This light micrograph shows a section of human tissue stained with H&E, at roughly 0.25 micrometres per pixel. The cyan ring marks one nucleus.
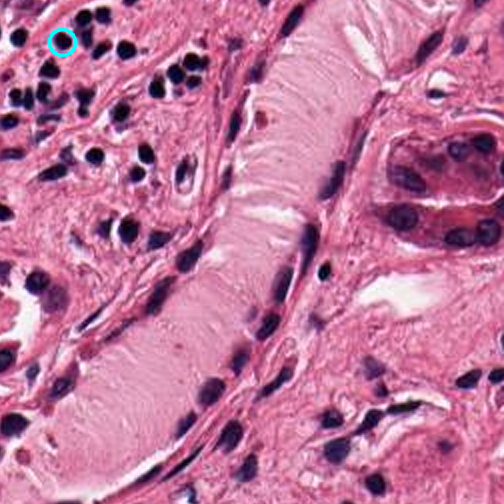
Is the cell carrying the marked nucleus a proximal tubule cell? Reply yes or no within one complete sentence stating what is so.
No, the marked nucleus is part of a supporting cell and does not belong to a proximal tubule cell.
